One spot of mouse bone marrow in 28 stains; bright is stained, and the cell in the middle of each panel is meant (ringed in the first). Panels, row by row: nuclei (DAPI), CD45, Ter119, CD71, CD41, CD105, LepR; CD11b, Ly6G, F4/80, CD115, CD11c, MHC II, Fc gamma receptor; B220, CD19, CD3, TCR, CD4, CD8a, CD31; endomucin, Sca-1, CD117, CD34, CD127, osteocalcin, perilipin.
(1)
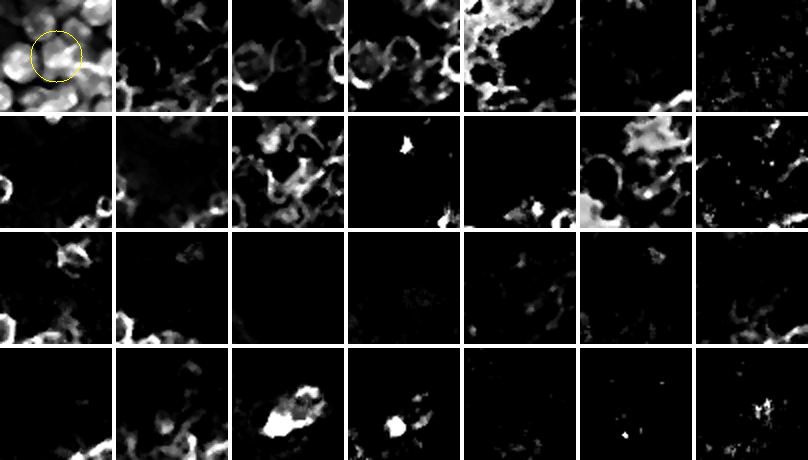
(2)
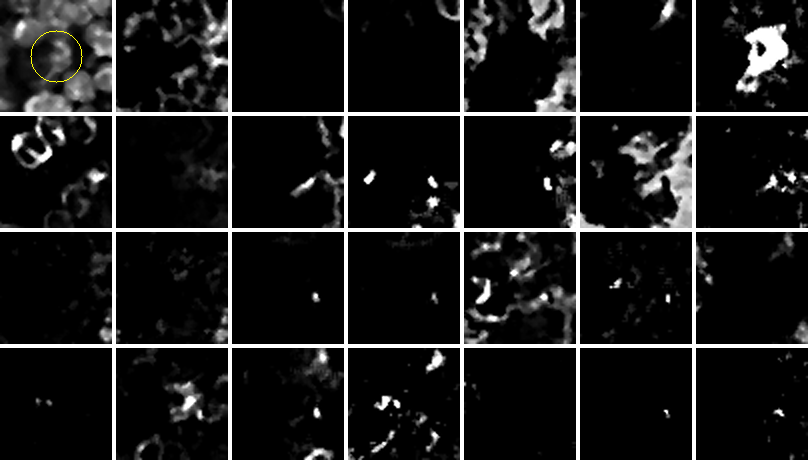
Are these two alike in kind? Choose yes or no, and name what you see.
No. First a common myeloid progenitor, second a LepR-positive perivascular cell.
